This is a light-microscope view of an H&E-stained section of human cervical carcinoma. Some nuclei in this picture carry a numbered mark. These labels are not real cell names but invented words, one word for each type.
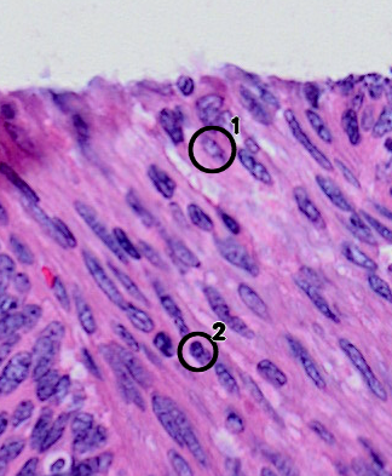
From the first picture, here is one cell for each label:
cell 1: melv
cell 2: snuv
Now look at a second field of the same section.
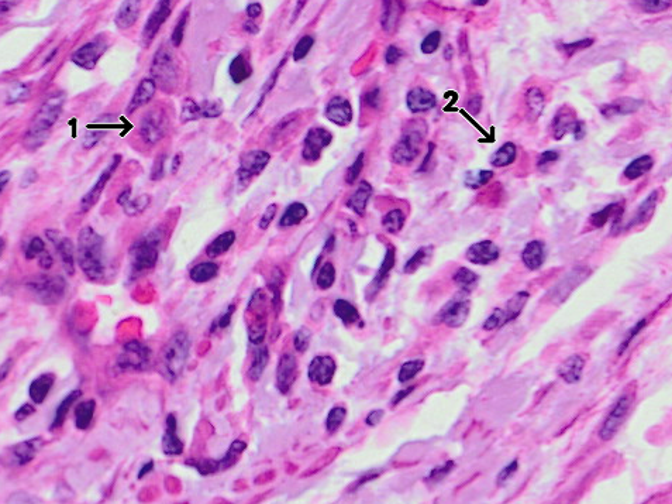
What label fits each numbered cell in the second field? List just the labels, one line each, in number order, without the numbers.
melv
snuv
